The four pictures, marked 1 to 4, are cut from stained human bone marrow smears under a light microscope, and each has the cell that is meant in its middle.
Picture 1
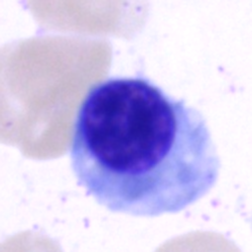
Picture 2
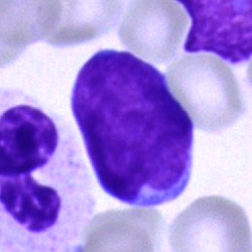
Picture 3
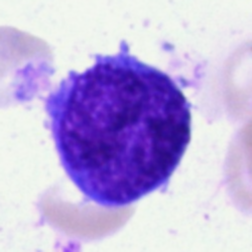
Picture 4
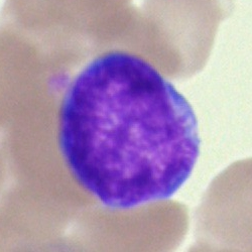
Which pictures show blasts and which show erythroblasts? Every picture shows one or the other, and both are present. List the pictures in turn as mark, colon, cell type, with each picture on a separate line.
1: erythroblast
2: blast
3: blast
4: blast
